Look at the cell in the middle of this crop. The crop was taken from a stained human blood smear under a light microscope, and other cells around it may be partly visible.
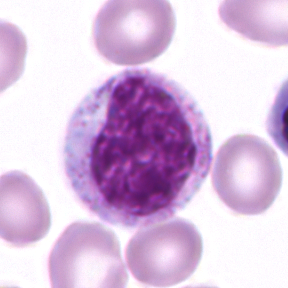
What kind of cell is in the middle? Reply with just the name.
metamyelocyte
